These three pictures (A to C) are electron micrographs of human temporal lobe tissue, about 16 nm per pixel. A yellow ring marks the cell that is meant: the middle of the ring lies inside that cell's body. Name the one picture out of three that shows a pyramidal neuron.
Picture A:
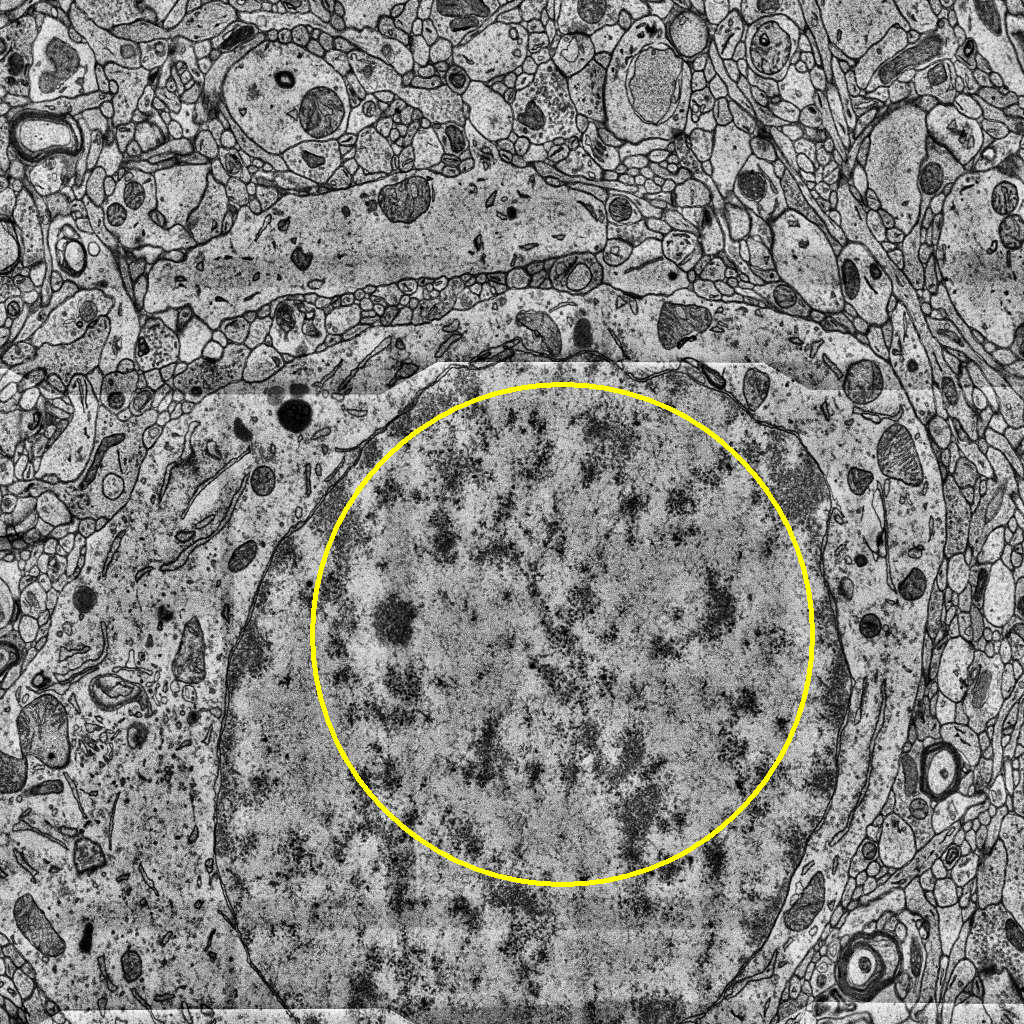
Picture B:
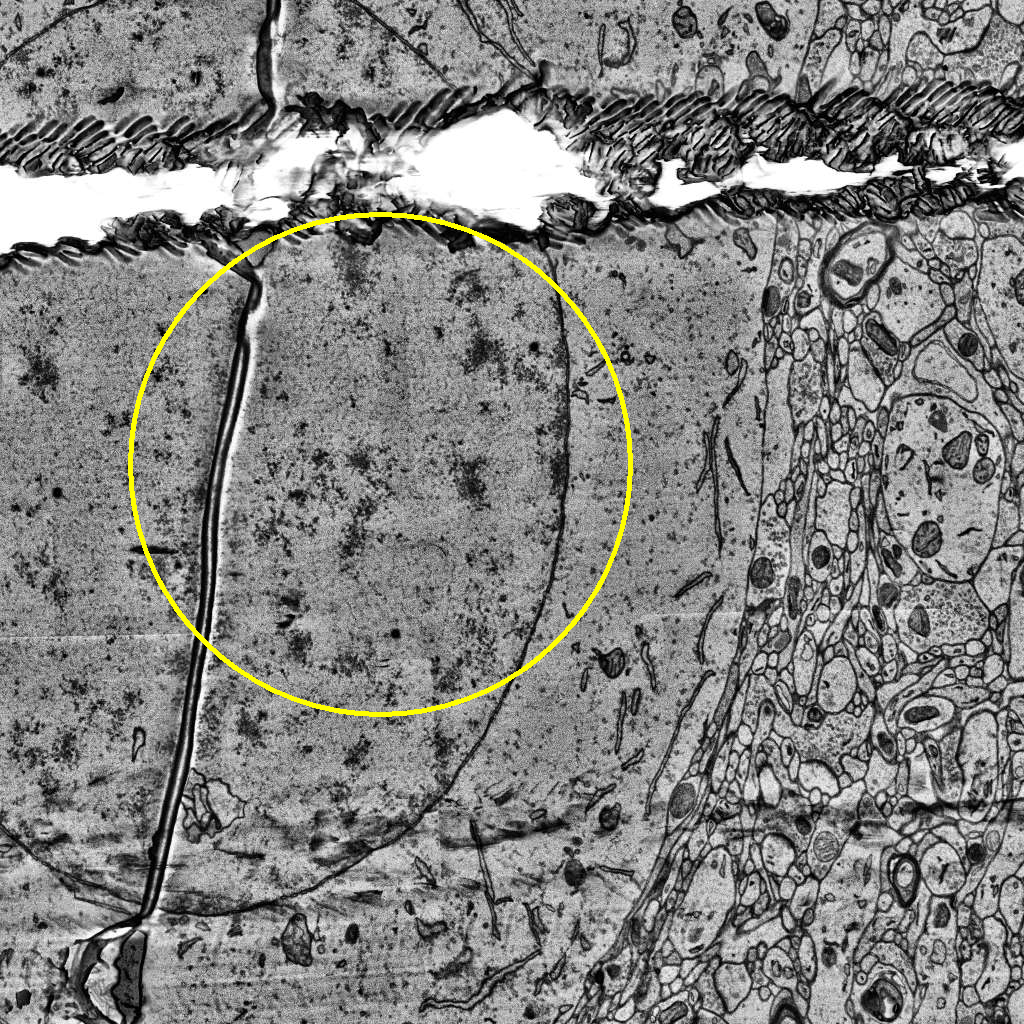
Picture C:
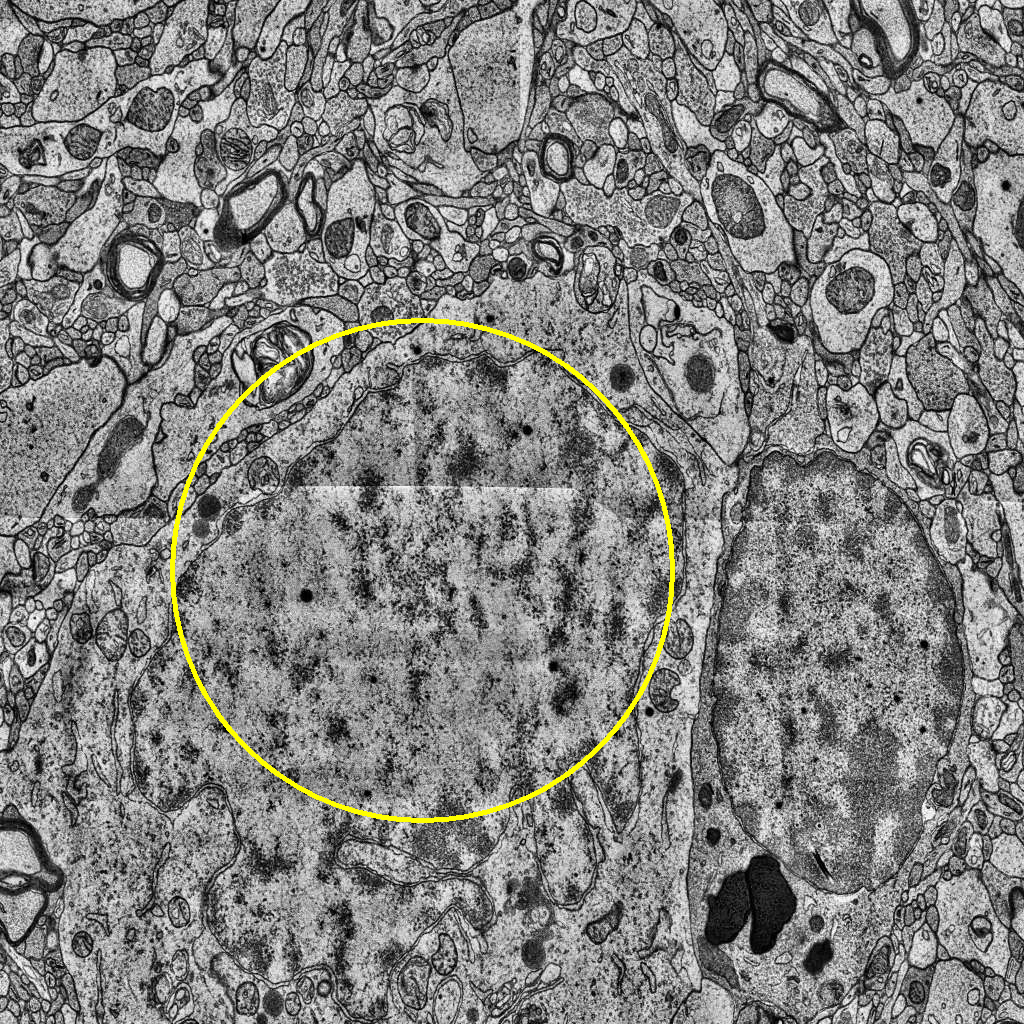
The pyramidal neuron is the one in picture B.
